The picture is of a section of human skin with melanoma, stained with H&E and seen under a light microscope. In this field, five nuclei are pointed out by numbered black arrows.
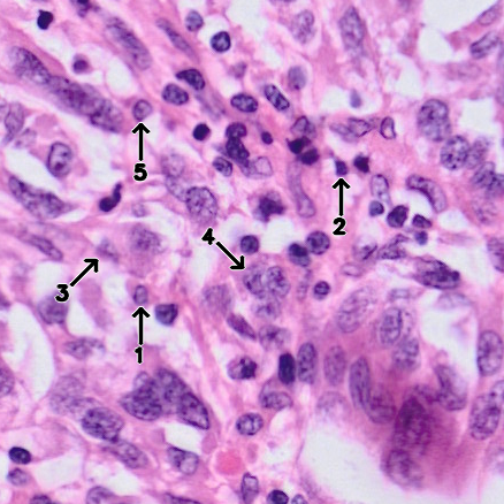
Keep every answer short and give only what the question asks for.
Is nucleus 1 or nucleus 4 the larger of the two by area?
4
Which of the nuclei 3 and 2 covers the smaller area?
2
